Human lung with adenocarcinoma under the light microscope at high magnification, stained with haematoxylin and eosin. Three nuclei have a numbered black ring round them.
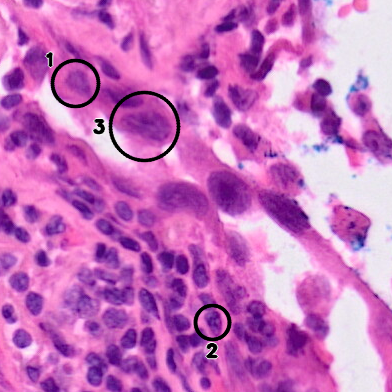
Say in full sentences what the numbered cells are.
Cell 1 is a carcinoma cell, cell 2 is a lymphocyte and cell 3 is a carcinoma cell.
